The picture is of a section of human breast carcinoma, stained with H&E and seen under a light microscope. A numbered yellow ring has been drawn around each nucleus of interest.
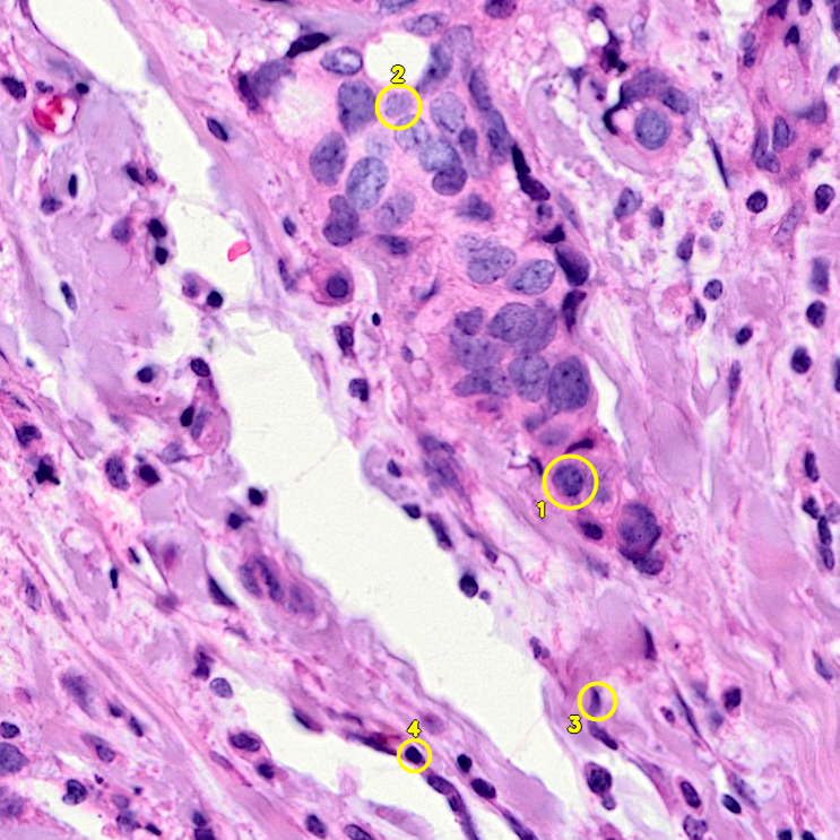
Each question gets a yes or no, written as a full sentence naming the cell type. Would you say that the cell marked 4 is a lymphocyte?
Yes, the cell with the mark numbered 4 is a lymphocyte.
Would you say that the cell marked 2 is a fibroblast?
No, cell 2 is a carcinoma cell, not a fibroblast.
